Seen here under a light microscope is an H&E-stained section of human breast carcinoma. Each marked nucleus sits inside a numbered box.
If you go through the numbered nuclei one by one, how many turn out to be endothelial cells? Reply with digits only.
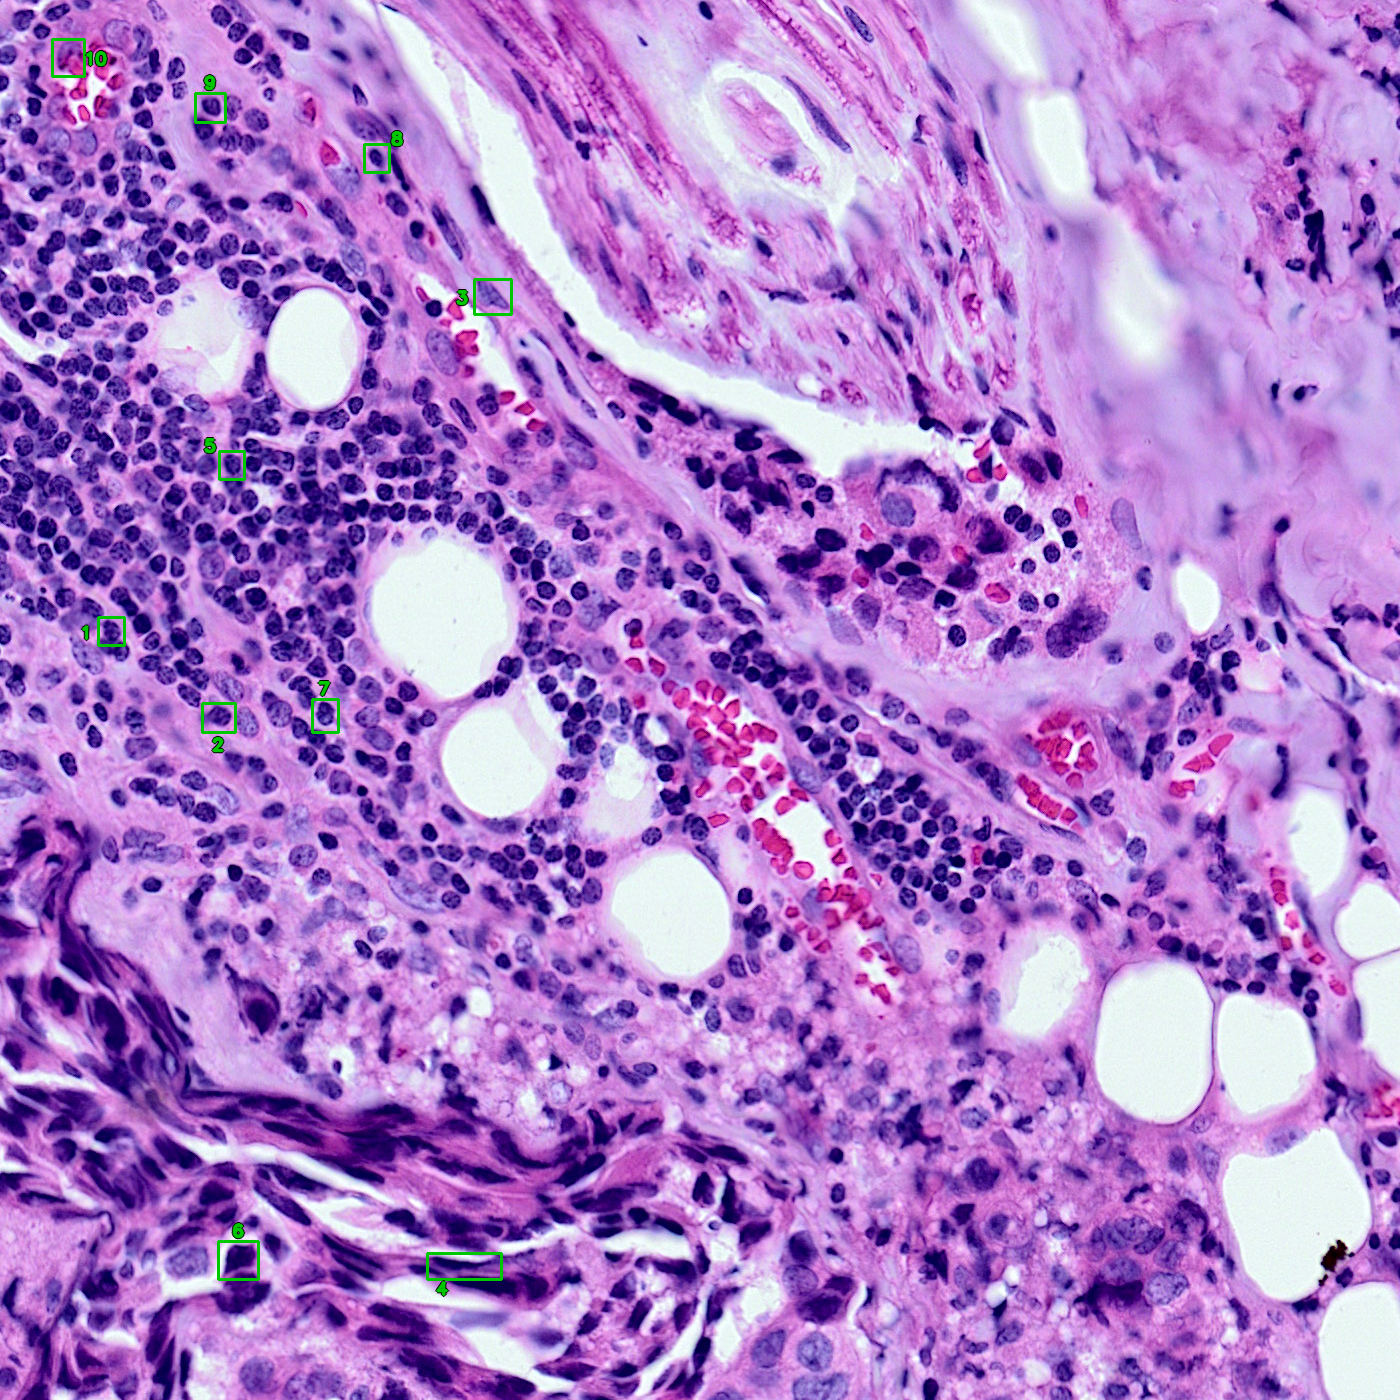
2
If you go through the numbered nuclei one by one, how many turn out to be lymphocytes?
6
